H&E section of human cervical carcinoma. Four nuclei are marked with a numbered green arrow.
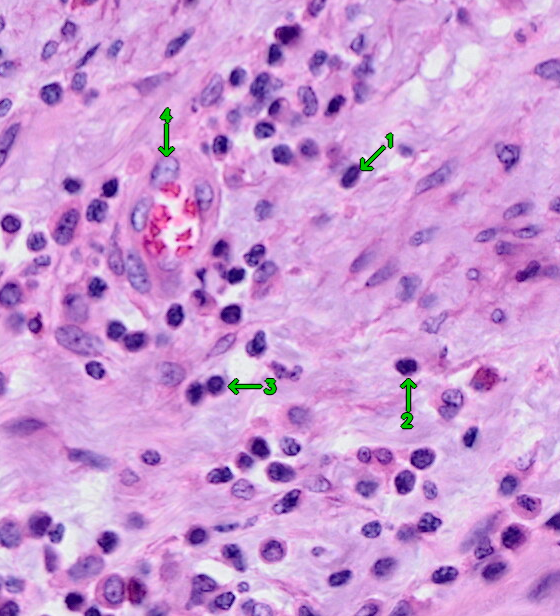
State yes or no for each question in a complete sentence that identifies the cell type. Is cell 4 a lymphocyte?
No, the right label for cell 4 is an endothelial cell rather than a lymphocyte.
